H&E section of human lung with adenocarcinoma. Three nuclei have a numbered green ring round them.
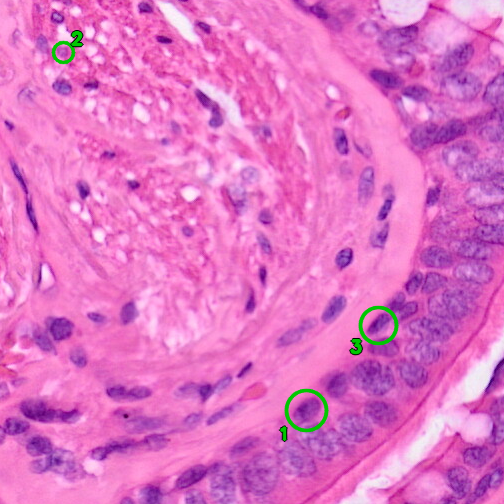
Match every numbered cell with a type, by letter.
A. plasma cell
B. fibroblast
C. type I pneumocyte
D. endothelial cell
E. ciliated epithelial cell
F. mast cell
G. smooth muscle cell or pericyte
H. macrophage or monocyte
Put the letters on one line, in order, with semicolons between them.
E; G; E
